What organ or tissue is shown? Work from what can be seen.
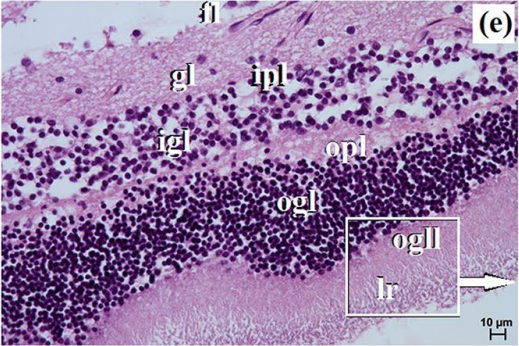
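Alternating bands of densely packed purple nuclei and pale pink fibrillar layers. A thick layer of closely packed dark round nuclei borders a pale, finely striated outer zone. So: Retina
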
